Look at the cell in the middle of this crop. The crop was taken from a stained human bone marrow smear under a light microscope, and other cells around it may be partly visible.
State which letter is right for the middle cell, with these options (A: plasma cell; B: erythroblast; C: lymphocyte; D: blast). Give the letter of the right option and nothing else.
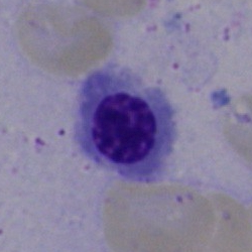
B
